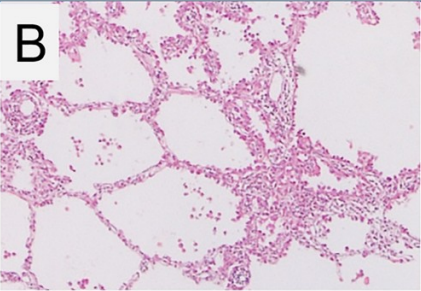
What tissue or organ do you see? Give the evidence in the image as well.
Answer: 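Pulmonary parenchyma. Thin-walled air spaces separated by delicate septa. A denser, more cellular zone of thickened septa at one side.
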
